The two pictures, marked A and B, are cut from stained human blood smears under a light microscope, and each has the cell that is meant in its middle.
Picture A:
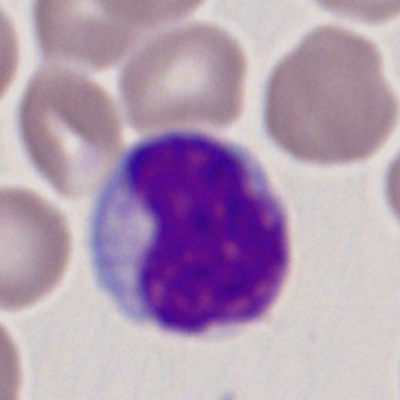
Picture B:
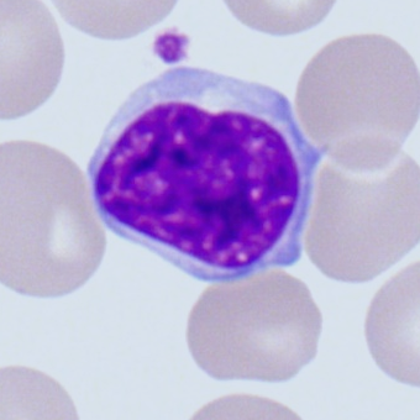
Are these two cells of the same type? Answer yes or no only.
yes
